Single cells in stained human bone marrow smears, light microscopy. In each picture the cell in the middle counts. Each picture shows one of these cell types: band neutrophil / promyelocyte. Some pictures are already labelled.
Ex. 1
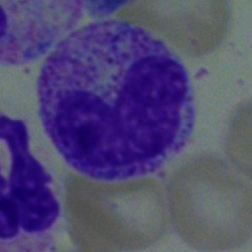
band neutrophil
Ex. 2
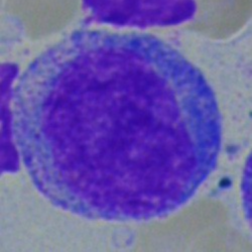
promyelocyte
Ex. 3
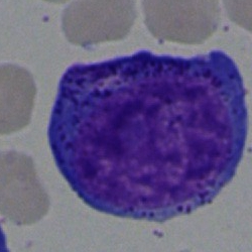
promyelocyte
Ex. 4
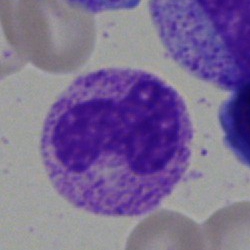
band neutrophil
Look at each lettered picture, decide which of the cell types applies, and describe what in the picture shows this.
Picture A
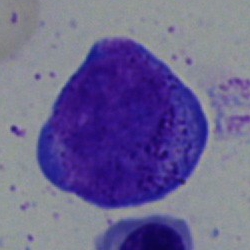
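promyelocyte. Reason: The chromatin is finely textured rather than coarsely clumped.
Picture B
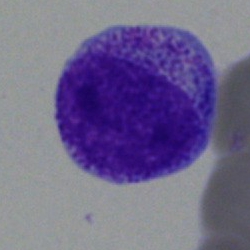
promyelocyte. Reason: The chromatin looks finely stippled rather than coarsely clumped.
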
